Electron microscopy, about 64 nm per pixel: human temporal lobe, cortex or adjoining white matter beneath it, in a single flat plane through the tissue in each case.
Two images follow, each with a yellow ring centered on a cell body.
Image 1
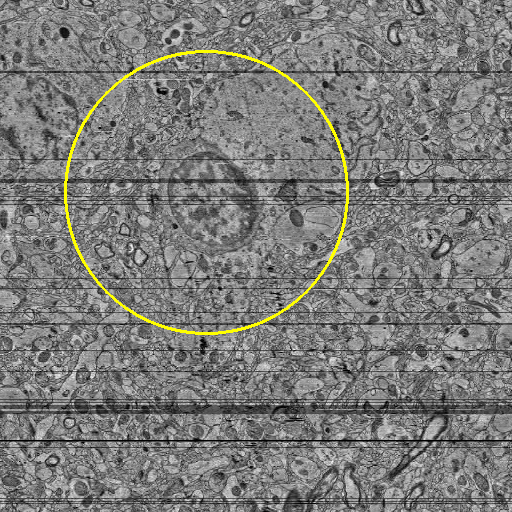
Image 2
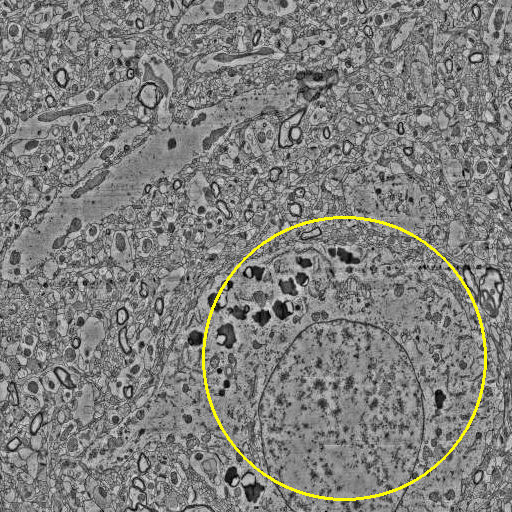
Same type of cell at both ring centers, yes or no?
no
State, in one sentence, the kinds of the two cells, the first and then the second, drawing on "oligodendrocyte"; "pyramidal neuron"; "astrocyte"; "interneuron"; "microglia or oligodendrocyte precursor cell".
The ring in the second picture is centred on a pyramidal neuron, the ring in the first on an oligodendrocyte.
